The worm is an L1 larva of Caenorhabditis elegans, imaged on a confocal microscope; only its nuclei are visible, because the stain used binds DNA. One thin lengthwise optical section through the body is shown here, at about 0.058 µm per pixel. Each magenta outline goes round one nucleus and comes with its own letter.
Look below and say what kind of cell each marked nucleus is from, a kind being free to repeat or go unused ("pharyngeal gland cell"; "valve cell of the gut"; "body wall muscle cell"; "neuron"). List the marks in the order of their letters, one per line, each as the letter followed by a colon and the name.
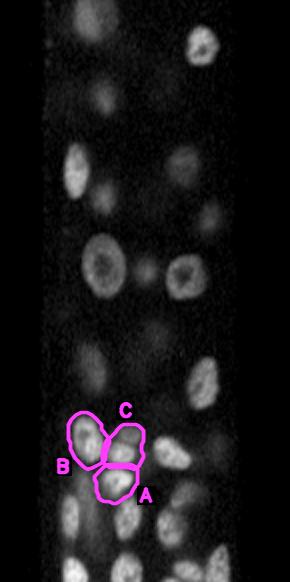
A: pharyngeal gland cell
B: body wall muscle cell
C: valve cell of the gut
